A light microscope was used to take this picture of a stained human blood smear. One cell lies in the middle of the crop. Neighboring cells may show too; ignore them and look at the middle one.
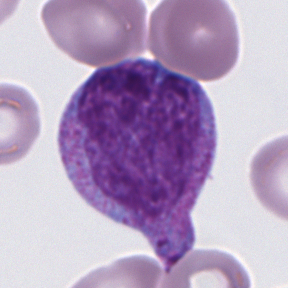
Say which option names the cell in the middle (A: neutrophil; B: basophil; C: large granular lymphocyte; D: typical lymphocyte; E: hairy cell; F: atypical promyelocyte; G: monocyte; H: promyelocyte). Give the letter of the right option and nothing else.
F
